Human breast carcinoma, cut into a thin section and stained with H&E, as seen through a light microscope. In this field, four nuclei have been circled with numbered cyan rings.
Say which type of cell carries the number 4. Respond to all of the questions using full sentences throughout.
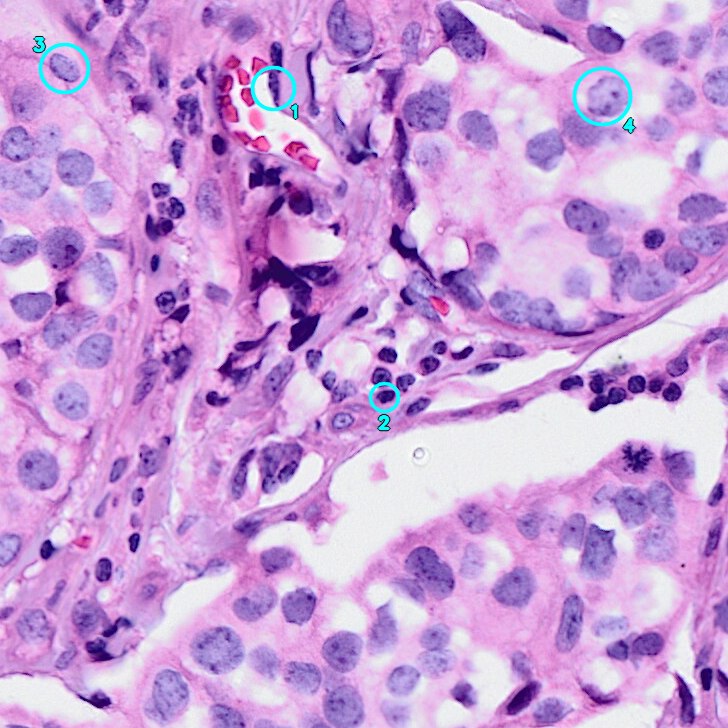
The cell pointed out as number 4 is a carcinoma cell.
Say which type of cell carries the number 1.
Cell 1 should be recorded as an endothelial cell.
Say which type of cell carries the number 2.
Belonging to a lymphocyte is the nucleus that carries the number 2.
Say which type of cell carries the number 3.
Among the marked cells, number 3 is a carcinoma cell.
